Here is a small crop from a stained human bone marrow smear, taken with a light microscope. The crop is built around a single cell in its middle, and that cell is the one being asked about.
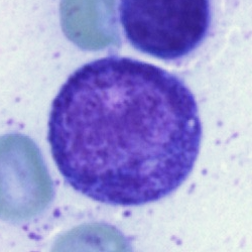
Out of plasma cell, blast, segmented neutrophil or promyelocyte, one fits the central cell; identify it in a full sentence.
Centrally within this crop lies a promyelocyte.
